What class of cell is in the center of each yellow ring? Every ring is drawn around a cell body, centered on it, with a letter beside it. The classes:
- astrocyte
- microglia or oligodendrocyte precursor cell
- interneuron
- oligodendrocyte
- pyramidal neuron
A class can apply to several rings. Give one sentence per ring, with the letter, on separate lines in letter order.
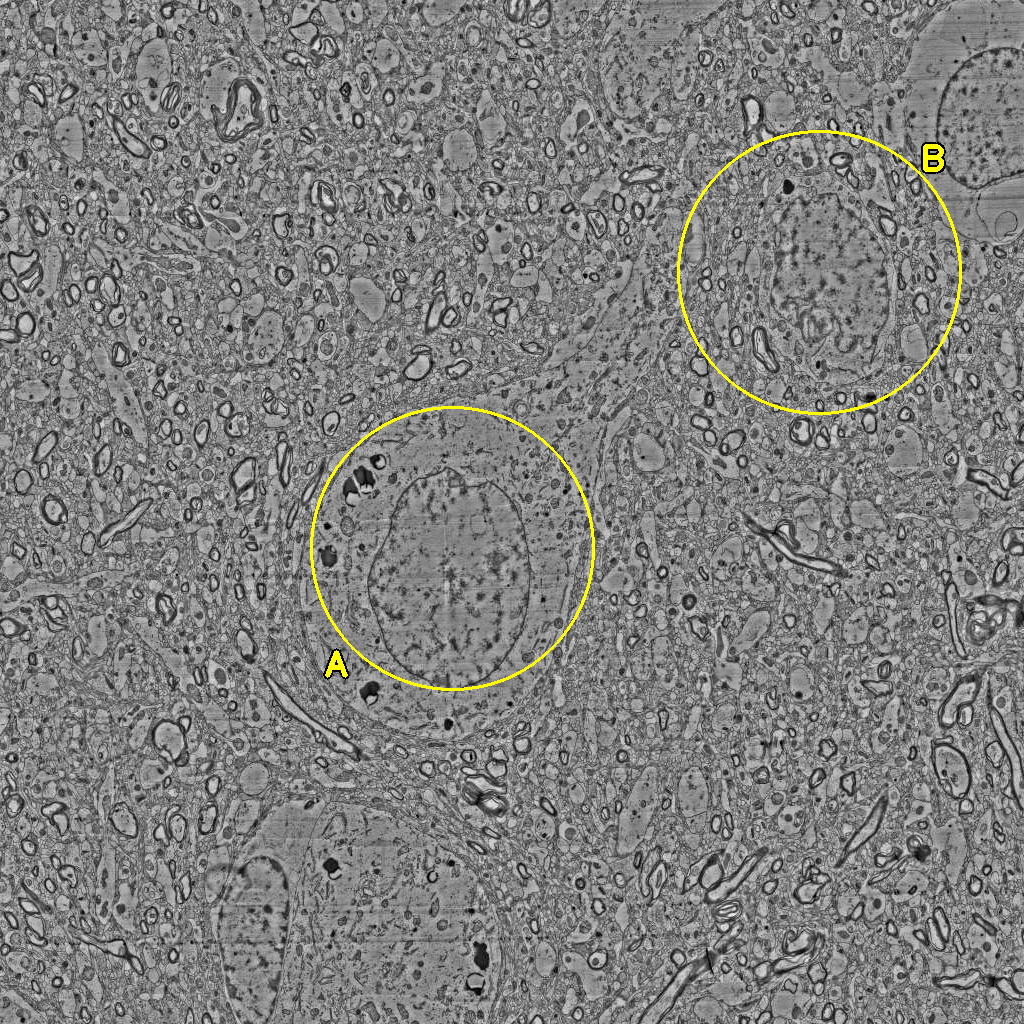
Ring A holds a pyramidal neuron at its center.
Ring B holds an interneuron at its center.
